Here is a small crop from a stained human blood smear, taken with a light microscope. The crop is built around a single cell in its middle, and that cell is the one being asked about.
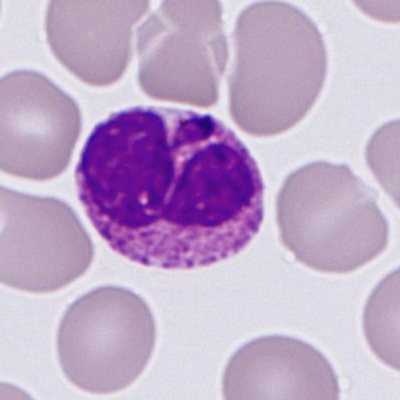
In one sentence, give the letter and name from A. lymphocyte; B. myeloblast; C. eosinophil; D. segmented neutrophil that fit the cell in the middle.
Since the cell in the centre is an eosinophil, the correct option is C.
